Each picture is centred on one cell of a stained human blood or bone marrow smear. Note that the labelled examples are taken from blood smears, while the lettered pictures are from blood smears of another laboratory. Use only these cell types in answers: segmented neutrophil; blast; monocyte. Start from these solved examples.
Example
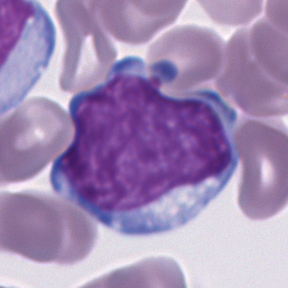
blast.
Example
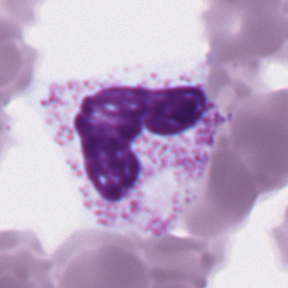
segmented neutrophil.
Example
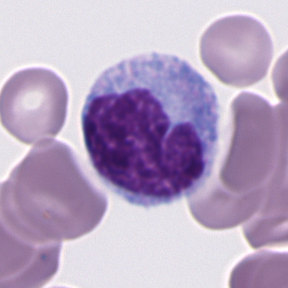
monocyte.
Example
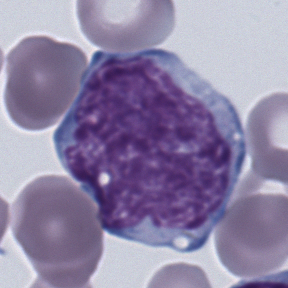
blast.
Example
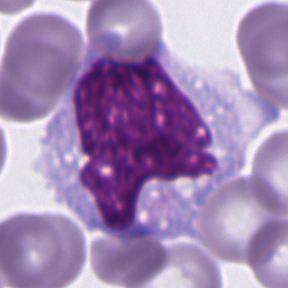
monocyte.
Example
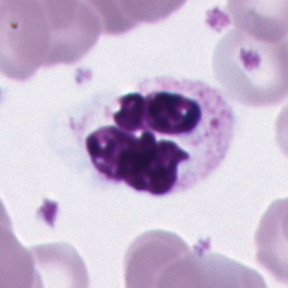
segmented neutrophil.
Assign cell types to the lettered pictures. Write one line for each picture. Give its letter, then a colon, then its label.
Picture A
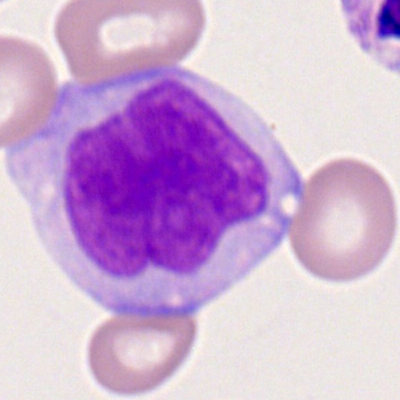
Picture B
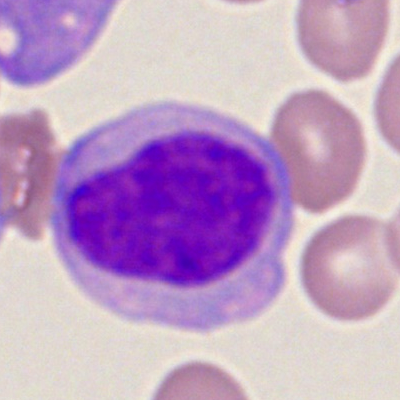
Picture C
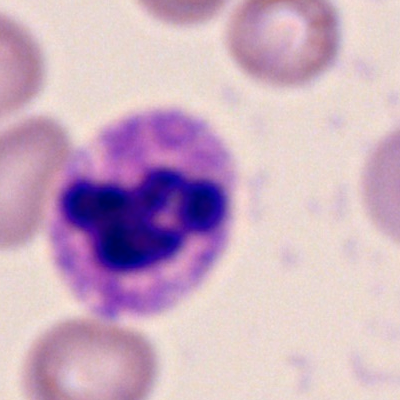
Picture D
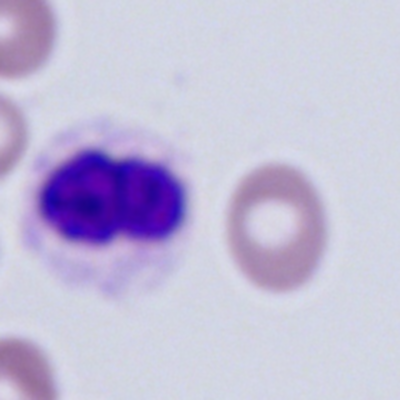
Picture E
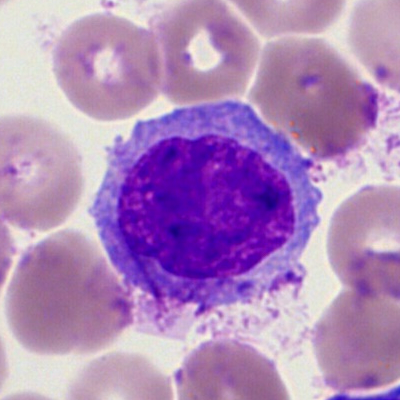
A: monocyte.
B: monocyte.
C: segmented neutrophil.
D: segmented neutrophil.
E: blast.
